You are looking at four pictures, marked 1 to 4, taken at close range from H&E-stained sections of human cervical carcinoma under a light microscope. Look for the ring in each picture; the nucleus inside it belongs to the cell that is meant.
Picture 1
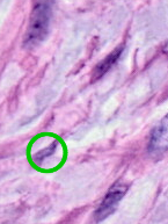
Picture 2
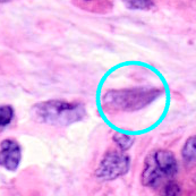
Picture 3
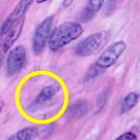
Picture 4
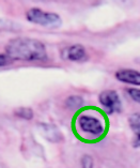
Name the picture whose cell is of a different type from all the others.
4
